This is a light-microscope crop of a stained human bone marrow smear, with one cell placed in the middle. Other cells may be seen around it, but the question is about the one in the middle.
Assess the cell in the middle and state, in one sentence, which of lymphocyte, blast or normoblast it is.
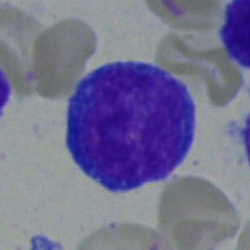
In the crop, the cell of interest at the centre is a blast.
